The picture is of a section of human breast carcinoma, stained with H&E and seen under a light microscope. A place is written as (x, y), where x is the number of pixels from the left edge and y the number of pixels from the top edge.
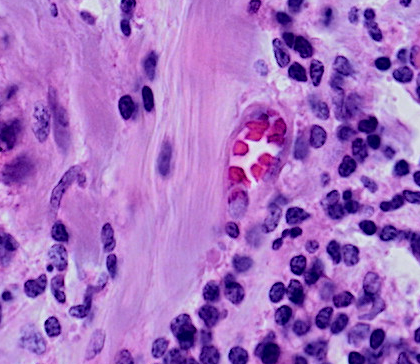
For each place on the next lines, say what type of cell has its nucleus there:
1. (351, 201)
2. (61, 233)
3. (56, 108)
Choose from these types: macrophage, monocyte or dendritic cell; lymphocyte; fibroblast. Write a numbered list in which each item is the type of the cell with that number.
1. lymphocyte
2. lymphocyte
3. fibroblast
